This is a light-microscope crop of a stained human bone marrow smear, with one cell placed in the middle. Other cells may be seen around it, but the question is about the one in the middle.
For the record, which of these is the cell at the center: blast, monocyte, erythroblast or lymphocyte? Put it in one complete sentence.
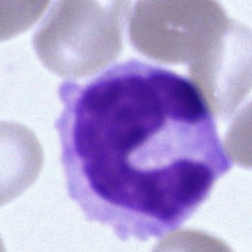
The cell the crop is centered on is a monocyte.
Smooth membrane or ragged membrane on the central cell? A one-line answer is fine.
In outline, the cell is irregular, ragged in stretches or drawn into projections.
